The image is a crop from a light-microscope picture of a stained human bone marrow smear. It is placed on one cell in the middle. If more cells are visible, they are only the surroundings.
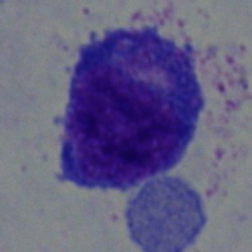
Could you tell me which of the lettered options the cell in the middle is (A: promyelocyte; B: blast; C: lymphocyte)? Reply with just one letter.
A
